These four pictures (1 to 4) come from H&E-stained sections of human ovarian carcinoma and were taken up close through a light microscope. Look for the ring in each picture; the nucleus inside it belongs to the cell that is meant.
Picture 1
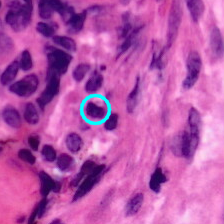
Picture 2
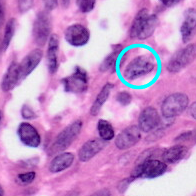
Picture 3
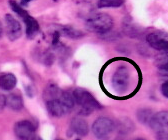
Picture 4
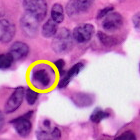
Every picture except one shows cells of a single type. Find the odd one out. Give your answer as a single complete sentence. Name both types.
Picture 4 differs, because its cell is a carcinoma cell and the rest are “macrophages or monocytes”.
